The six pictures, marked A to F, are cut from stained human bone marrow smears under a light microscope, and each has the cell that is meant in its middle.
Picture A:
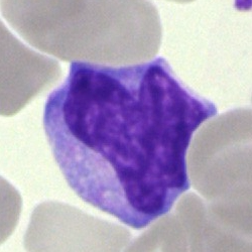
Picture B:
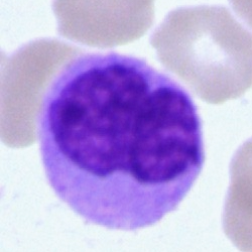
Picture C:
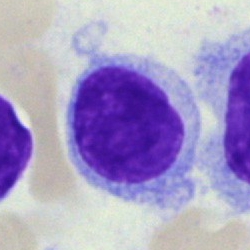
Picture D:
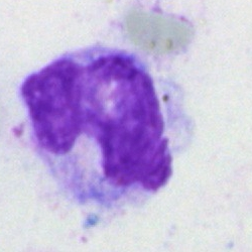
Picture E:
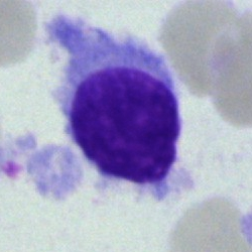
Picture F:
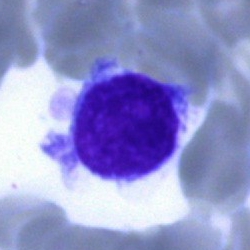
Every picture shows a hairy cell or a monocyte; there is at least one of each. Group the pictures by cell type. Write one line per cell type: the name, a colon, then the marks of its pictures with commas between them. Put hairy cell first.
hairy cell: C, E, F
monocyte: A, B, D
